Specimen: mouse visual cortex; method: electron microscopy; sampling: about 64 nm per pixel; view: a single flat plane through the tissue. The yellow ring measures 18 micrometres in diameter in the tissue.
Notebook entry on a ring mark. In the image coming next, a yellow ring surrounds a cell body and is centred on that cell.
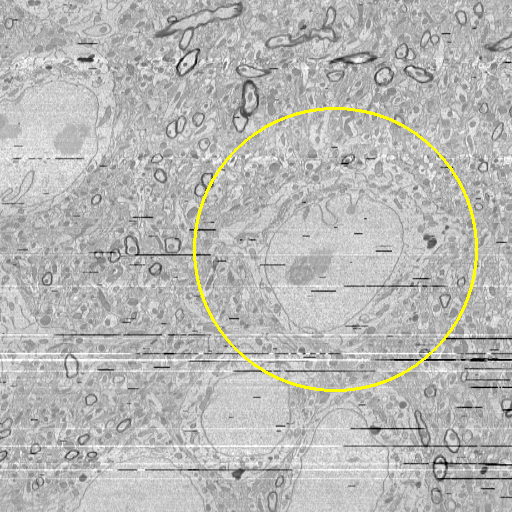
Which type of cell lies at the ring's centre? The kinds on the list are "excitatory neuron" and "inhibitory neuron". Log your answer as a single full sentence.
Centred in the yellow ring is an excitatory neuron, the cell recorded for this image.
